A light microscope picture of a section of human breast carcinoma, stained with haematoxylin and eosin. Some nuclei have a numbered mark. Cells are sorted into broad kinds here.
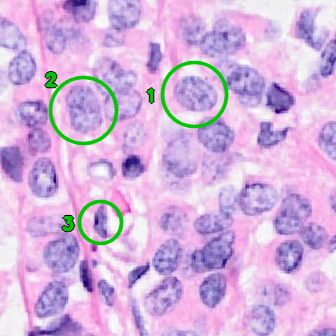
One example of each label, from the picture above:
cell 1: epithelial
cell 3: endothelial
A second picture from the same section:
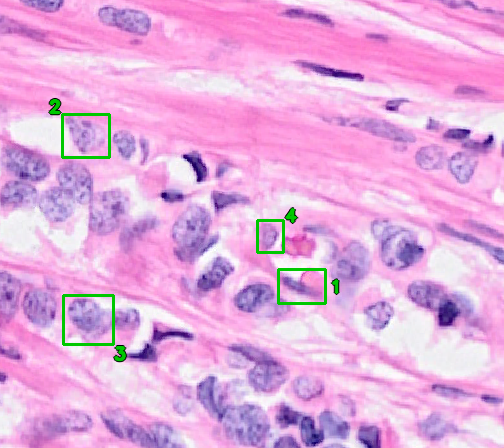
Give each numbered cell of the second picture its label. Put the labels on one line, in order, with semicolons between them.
endothelial; epithelial; epithelial; endothelial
